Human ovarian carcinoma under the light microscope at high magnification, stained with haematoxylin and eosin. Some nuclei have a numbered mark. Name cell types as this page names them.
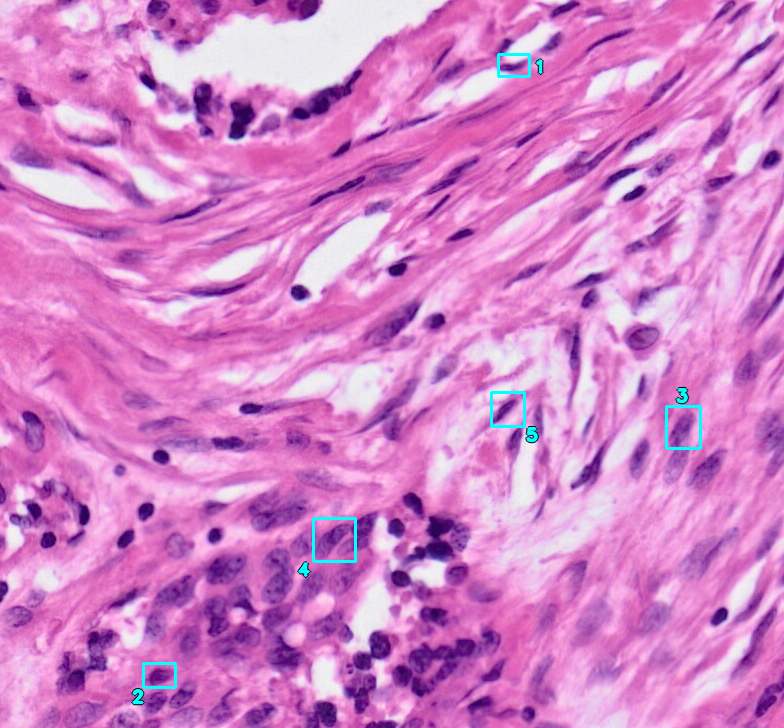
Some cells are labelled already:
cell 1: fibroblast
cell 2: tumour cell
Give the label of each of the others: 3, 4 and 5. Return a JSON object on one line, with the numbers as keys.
{"3": "fibroblast", "4": "tumour cell", "5": "fibroblast"}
